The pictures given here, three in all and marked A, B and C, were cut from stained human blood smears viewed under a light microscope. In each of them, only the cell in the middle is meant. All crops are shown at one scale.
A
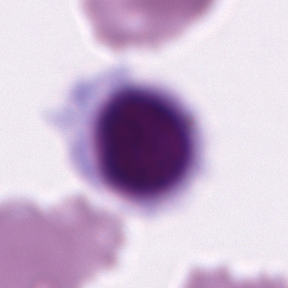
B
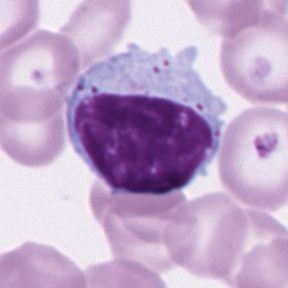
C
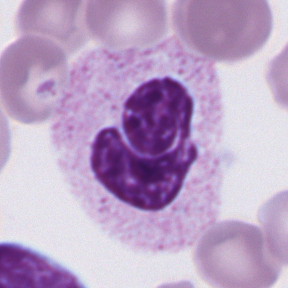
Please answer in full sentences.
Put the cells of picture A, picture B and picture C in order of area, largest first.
The order is C, B, A, beginning with the largest.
